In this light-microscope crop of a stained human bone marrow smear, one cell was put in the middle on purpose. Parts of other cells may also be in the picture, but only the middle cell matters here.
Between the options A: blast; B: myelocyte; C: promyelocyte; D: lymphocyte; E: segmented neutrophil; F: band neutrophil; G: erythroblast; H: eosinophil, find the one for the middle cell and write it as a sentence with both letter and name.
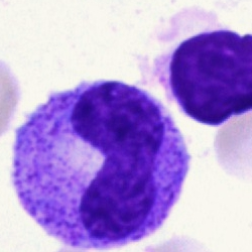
The middle cell of the crop is a band neutrophil; accordingly, option F is correct.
